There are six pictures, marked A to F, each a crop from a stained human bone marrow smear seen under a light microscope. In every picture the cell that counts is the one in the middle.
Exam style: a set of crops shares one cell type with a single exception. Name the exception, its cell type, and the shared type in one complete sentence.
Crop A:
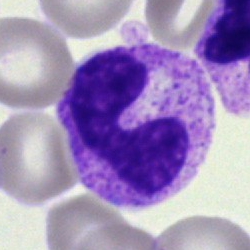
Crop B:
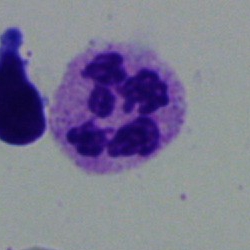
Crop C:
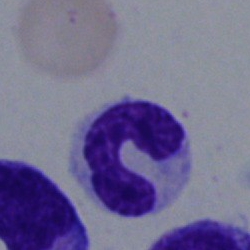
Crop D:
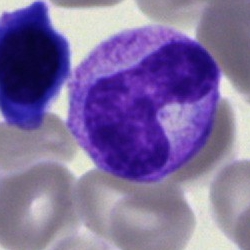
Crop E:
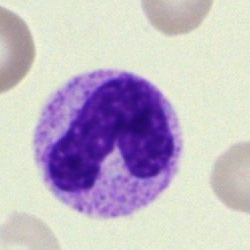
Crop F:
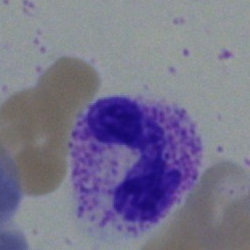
Crop B shows a segmented neutrophil; by contrast, all the other crops show band neutrophils.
